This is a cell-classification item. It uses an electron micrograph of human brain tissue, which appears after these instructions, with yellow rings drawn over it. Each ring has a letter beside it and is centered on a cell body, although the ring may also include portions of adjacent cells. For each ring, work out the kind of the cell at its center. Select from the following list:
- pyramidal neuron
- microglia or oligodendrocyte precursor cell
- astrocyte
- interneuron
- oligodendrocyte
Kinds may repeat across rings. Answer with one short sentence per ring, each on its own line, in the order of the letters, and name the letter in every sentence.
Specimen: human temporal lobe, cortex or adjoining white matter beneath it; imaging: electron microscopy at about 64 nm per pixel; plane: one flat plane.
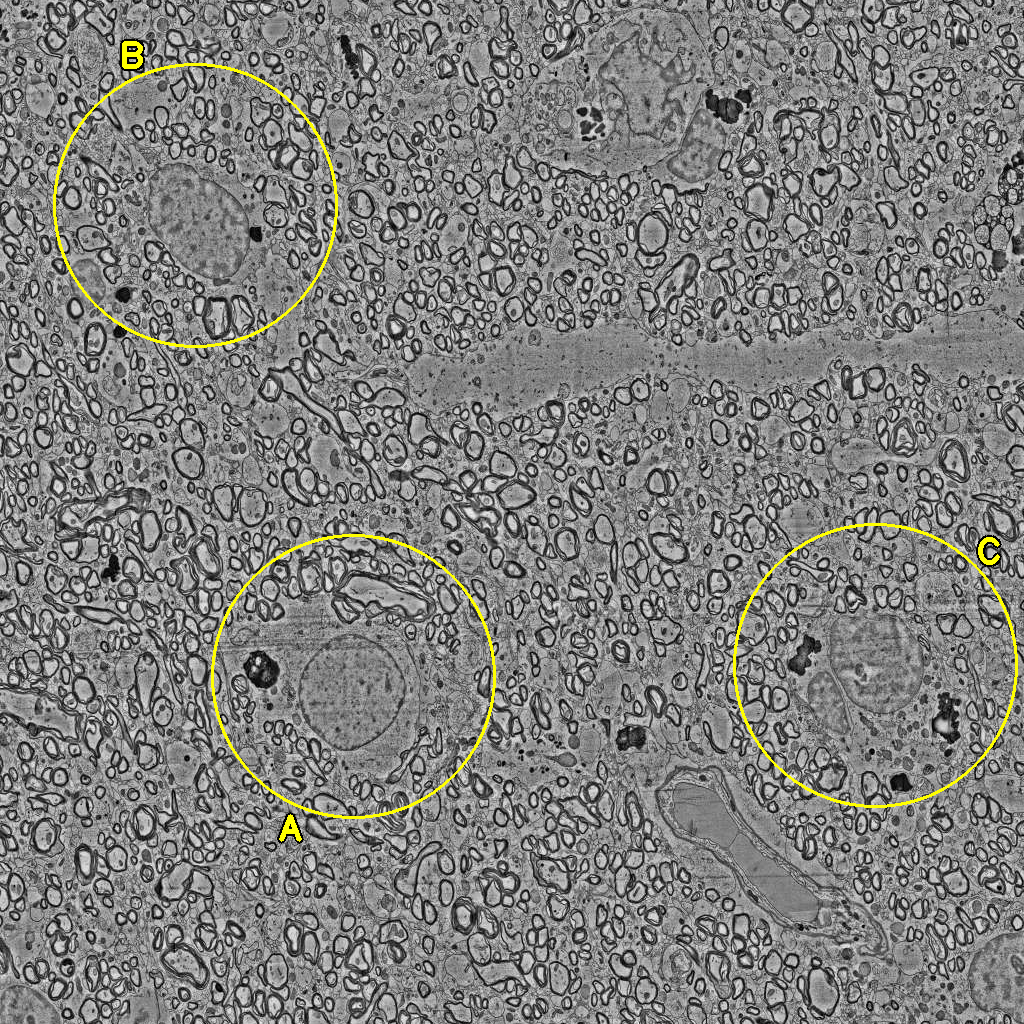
Ring A has an astrocyte at its center.
Ring B has an oligodendrocyte at its center.
Ring C has an oligodendrocyte at its center.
